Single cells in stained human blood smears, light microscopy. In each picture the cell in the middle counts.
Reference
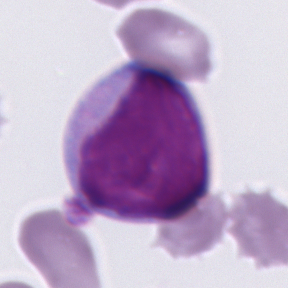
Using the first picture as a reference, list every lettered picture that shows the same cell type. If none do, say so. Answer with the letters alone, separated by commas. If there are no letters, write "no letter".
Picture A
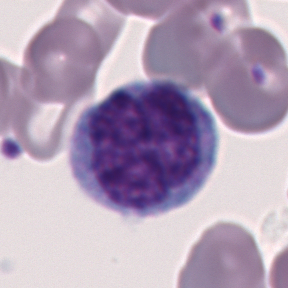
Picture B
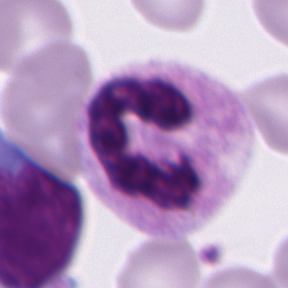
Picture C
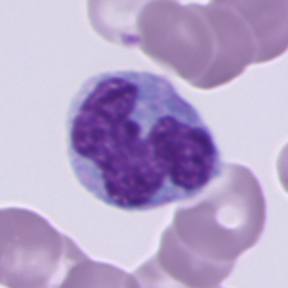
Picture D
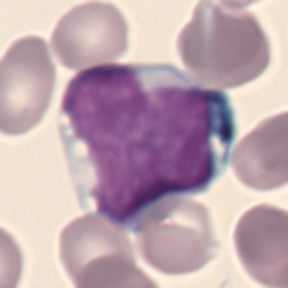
D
